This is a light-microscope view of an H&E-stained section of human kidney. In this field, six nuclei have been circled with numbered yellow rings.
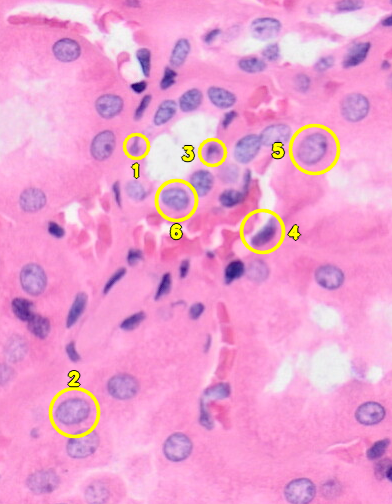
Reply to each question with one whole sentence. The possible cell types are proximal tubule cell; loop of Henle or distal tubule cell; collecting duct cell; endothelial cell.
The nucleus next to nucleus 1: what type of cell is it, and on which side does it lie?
It is a proximal tubule cell, whose nucleus lies to the left of nucleus 1.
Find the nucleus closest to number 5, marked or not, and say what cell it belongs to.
The cell nearest to number 5 is a collecting duct cell.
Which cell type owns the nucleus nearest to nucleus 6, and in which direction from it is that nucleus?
Lying above and to the right of nucleus 6, the nearest nucleus is that of a collecting duct cell.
